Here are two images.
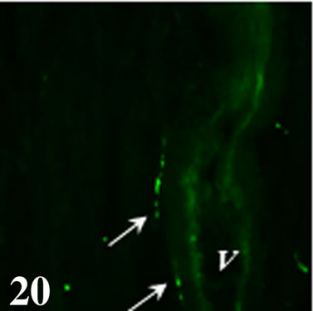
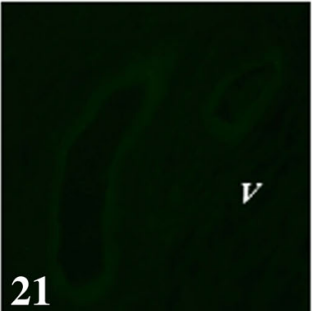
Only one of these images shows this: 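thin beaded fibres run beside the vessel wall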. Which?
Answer: The first image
